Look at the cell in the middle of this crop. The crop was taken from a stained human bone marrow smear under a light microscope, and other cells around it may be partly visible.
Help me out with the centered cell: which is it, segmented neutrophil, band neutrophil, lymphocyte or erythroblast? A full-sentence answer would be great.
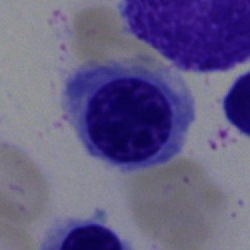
The cell the crop is centered on is an erythroblast.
